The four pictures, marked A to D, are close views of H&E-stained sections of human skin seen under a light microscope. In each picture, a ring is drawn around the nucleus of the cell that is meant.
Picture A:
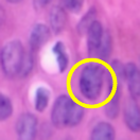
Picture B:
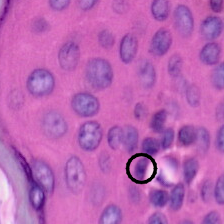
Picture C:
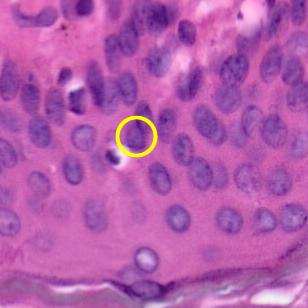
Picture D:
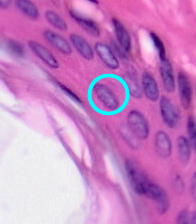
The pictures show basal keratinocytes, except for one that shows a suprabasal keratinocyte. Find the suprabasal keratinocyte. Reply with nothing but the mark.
D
